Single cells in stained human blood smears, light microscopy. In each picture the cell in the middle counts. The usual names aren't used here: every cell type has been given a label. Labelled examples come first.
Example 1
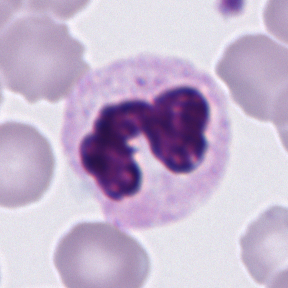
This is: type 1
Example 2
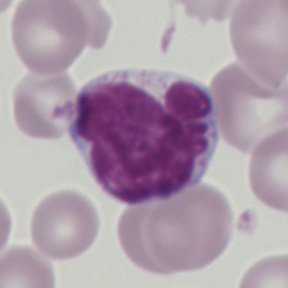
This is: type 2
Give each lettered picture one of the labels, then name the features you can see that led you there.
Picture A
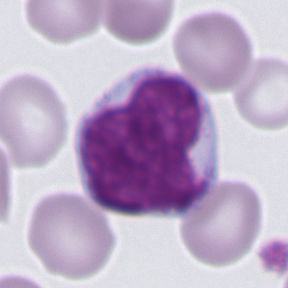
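type 2. The cytoplasm forms only a thin, very pale grey-blue rim.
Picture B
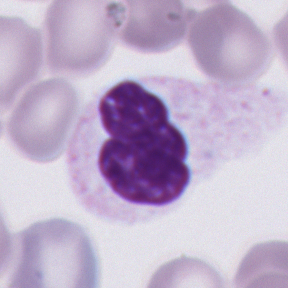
type 1. The cytoplasm is plentiful and pale pinkish-lilac.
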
